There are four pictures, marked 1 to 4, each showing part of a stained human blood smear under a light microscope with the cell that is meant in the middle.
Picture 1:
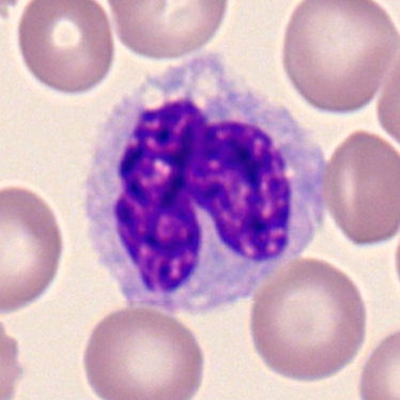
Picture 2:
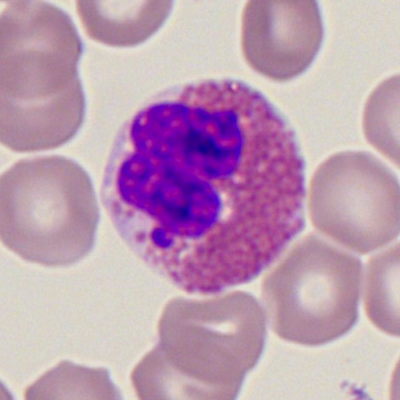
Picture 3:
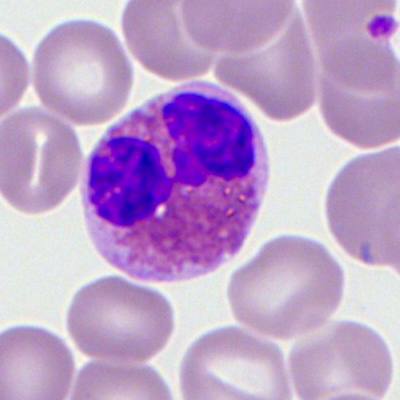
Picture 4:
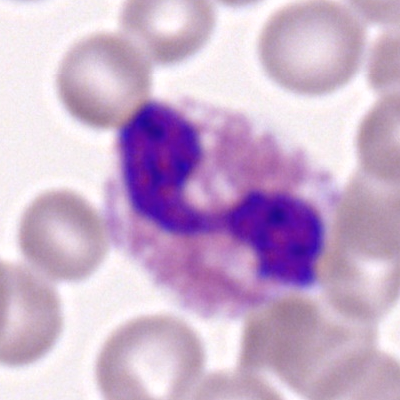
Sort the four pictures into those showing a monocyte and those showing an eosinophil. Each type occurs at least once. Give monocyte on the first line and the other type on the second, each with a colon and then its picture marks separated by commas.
monocyte: 1
eosinophil: 2, 3, 4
